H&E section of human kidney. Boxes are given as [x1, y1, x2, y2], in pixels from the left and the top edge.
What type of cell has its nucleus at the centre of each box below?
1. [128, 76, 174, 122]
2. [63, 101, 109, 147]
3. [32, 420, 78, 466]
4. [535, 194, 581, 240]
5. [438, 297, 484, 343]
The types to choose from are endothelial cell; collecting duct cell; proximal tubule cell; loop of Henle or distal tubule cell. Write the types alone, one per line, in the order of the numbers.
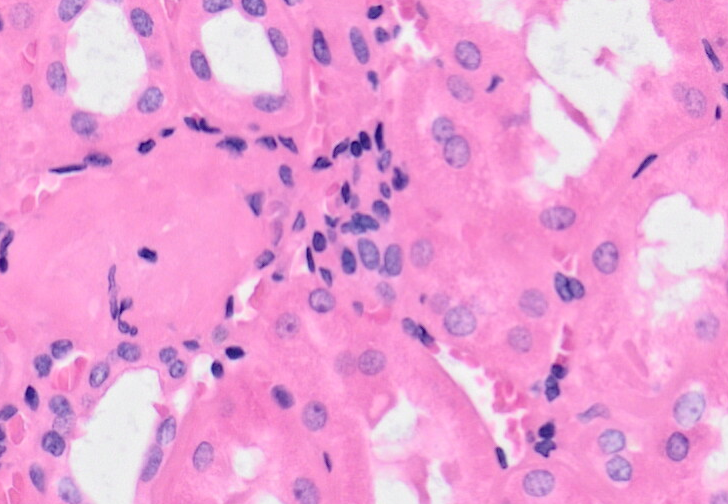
loop of Henle or distal tubule cell
loop of Henle or distal tubule cell
collecting duct cell
proximal tubule cell
proximal tubule cell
